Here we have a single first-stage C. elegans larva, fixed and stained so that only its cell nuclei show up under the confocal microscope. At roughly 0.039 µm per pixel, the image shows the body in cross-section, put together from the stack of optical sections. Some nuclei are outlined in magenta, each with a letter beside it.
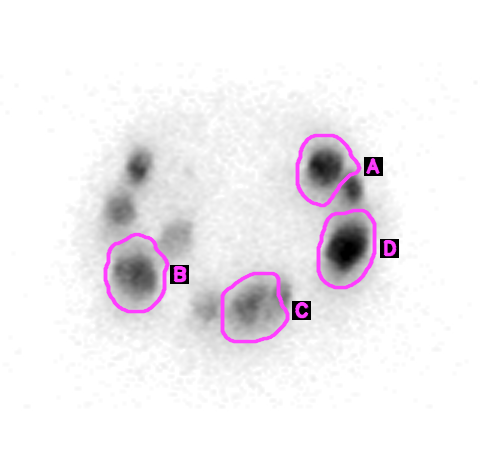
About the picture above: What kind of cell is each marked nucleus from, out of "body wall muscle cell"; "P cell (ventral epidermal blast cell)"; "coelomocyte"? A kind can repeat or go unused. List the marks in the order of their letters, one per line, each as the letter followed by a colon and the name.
A: body wall muscle cell
B: body wall muscle cell
C: P cell (ventral epidermal blast cell)
D: coelomocyte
